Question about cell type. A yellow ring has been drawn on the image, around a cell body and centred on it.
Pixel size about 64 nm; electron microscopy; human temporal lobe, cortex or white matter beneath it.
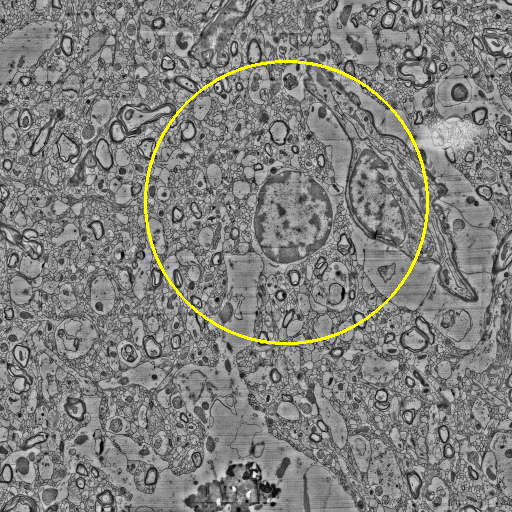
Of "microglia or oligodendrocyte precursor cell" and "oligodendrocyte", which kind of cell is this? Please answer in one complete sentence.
At the centre of the ring lies a microglial cell or oligodendrocyte precursor cell.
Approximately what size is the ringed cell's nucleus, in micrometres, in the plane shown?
In this plane, approximately 6 by 5 micrometers.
